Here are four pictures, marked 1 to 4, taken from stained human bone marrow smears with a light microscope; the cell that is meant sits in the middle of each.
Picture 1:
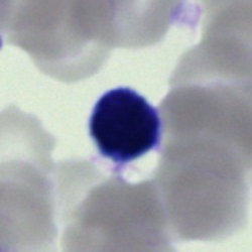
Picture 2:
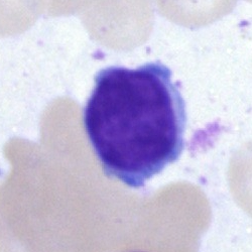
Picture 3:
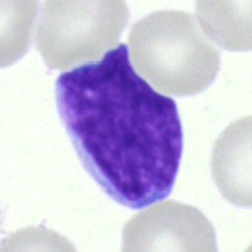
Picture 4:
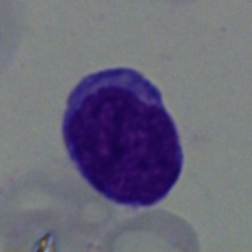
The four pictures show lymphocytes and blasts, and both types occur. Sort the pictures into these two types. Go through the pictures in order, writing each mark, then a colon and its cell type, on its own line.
1: lymphocyte
2: lymphocyte
3: blast
4: blast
